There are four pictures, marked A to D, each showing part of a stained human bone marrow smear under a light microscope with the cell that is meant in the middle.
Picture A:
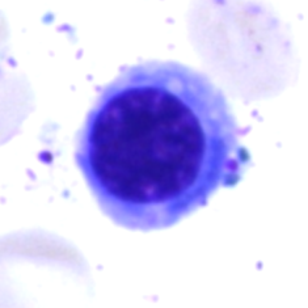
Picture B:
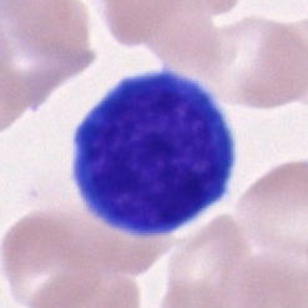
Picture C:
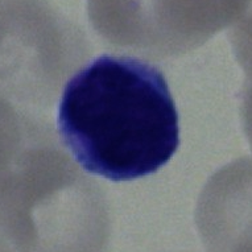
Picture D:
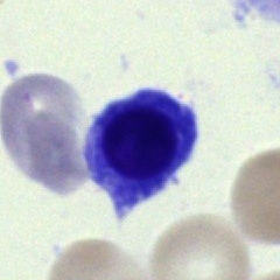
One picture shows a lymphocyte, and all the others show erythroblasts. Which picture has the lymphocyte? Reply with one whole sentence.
It is picture C that shows the lymphocyte.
